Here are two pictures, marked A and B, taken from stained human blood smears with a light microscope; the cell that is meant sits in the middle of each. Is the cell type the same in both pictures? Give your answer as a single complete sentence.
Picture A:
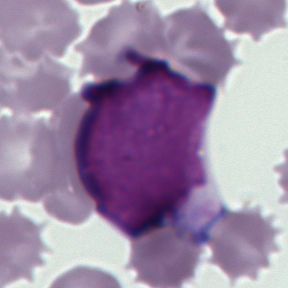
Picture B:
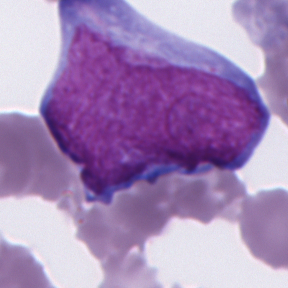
Yes, they are the same type: both are myeloblasts.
